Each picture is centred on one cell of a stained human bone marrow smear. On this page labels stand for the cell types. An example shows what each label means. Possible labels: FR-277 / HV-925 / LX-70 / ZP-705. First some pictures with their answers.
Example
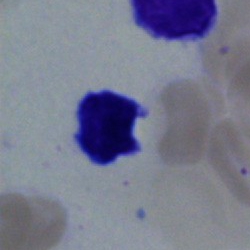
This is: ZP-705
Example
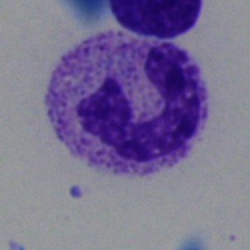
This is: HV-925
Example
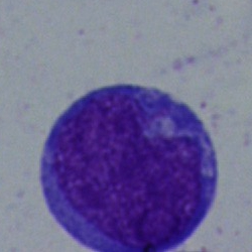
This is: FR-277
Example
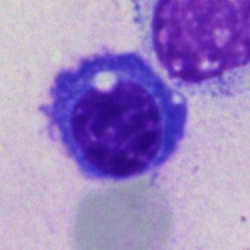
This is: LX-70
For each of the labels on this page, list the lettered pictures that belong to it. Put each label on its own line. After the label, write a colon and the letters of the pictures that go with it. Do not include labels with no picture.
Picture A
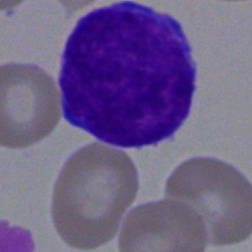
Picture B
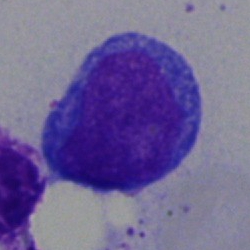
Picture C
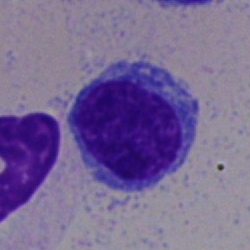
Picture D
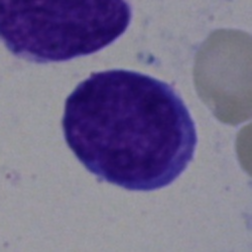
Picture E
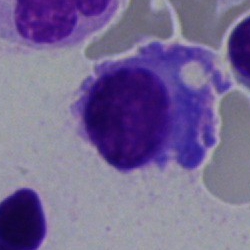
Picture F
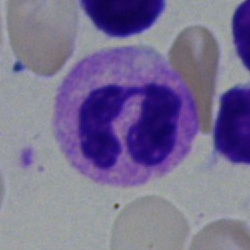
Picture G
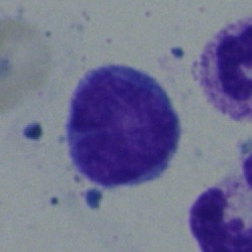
FR-277: A, B, D, G
HV-925: F
LX-70: E
ZP-705: C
